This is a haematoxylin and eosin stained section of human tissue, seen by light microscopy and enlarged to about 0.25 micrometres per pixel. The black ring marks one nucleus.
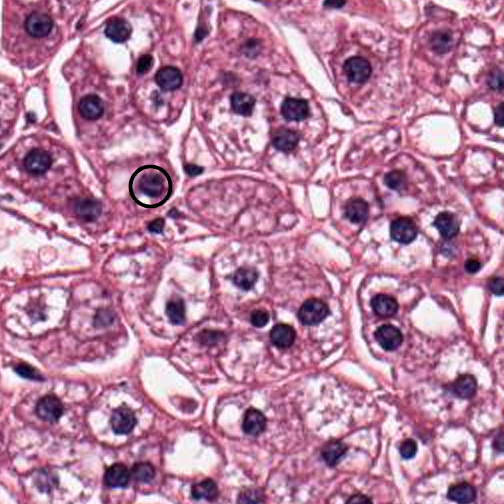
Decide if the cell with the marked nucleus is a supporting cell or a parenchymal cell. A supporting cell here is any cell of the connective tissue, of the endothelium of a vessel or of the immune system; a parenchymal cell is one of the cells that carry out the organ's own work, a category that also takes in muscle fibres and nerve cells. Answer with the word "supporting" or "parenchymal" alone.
parenchymal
